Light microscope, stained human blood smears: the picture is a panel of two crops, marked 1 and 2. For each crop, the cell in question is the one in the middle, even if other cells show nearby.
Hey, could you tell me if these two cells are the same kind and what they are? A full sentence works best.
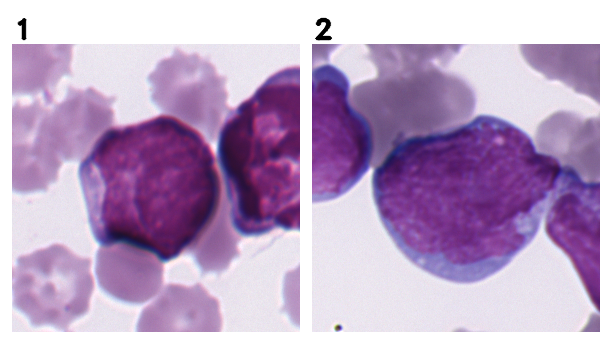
Yes, the centre cells of both crops are myeloblasts.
